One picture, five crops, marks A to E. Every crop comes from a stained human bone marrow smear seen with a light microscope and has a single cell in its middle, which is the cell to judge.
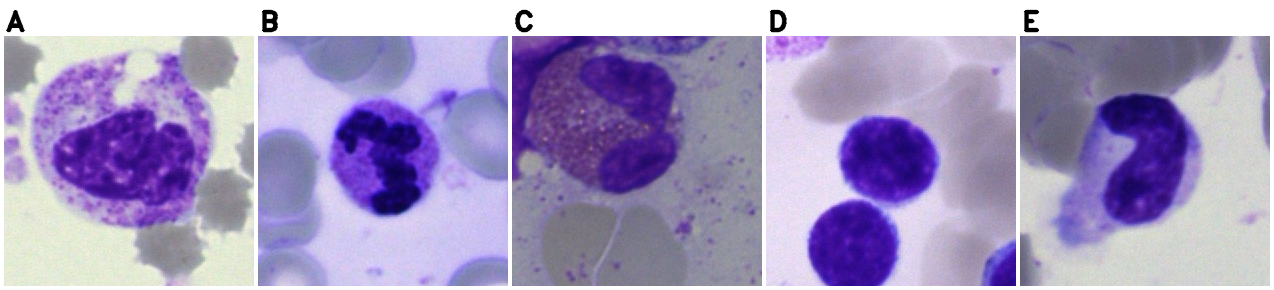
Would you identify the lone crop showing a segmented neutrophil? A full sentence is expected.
Among all the crops given here, the one with a segmented neutrophil is crop B.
